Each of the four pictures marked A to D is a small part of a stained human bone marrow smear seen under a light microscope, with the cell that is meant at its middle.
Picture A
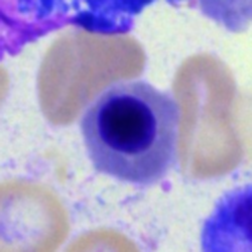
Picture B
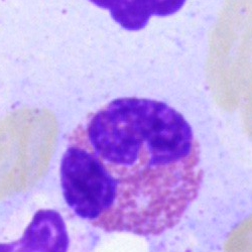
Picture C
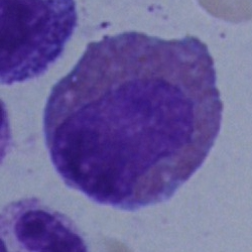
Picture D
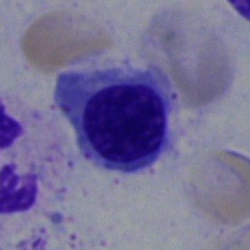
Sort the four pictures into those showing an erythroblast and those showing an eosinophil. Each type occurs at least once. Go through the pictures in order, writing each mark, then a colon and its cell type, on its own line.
A: erythroblast
B: eosinophil
C: eosinophil
D: erythroblast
